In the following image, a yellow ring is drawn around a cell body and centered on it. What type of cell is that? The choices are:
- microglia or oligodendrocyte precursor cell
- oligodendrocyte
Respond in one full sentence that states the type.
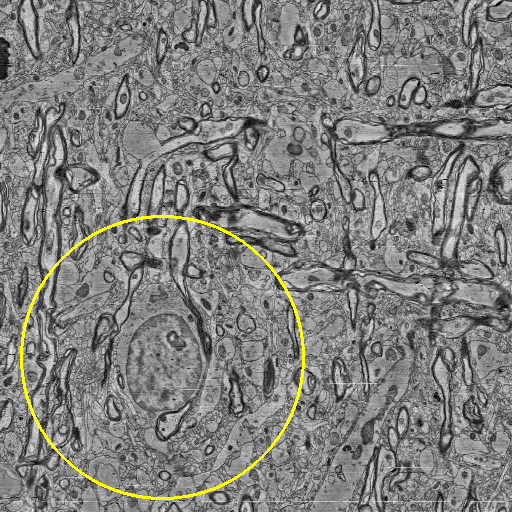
The cell at the center of the yellow ring in the image is an oligodendrocyte.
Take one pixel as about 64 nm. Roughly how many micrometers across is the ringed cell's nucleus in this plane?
The nucleus works out at approximately 7 by 5 micrometres in this plane.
